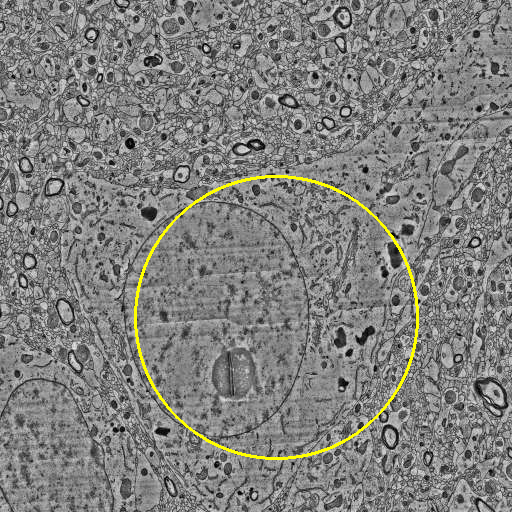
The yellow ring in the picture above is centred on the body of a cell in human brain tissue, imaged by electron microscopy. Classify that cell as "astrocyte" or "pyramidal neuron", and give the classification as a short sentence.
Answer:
The cell in the middle of the ring is a pyramidal neuron.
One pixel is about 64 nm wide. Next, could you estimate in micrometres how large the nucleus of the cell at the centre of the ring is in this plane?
In this plane the nucleus measures roughly 15 by 12 micrometres.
